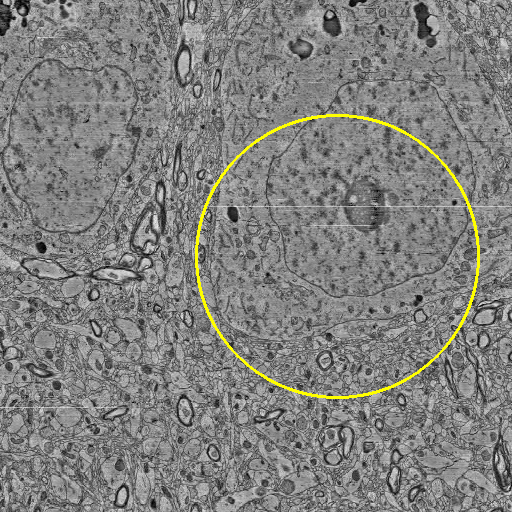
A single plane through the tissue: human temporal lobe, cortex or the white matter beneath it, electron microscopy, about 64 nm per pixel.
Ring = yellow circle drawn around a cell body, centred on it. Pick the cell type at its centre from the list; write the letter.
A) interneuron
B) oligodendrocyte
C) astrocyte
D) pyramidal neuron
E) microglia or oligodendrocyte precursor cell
D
